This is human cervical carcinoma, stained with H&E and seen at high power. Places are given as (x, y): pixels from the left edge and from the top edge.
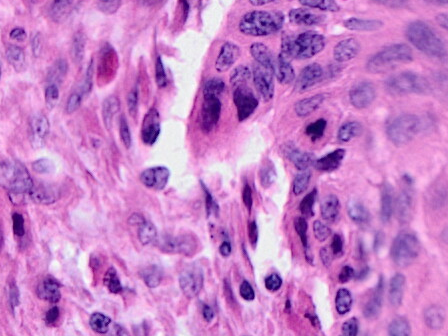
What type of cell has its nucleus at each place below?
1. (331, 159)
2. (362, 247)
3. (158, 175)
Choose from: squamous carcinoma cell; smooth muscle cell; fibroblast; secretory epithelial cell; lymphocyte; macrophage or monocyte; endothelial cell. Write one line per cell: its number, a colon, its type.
1: squamous carcinoma cell
2: squamous carcinoma cell
3: macrophage or monocyte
